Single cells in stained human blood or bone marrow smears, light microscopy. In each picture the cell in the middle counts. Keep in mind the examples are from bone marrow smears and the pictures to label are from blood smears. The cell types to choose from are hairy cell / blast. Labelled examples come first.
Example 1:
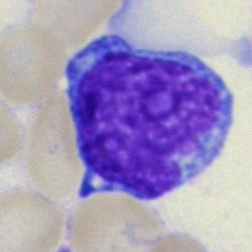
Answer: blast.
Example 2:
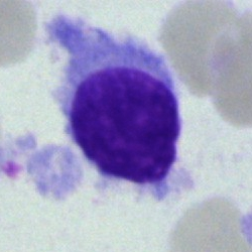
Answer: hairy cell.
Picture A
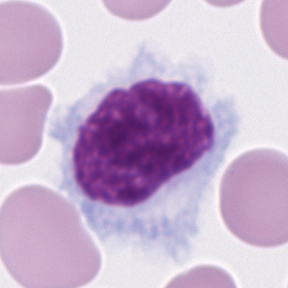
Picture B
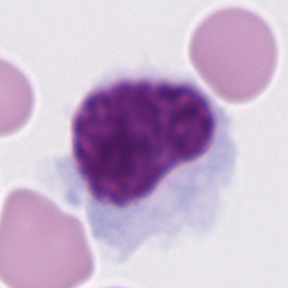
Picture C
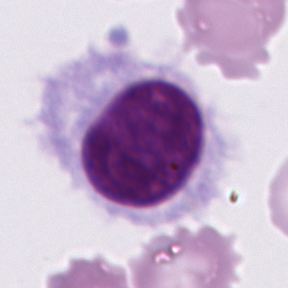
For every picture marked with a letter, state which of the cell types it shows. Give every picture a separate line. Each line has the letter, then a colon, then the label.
A: hairy cell.
B: hairy cell.
C: hairy cell.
